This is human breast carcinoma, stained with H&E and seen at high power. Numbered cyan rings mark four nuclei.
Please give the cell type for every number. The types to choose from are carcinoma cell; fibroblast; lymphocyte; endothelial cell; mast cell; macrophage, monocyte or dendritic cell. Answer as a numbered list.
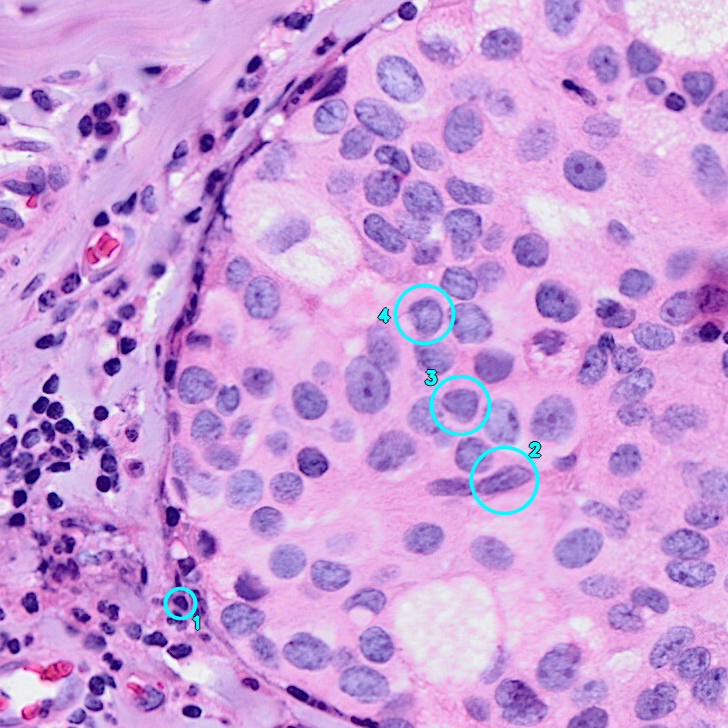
1. lymphocyte
2. carcinoma cell
3. carcinoma cell
4. carcinoma cell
